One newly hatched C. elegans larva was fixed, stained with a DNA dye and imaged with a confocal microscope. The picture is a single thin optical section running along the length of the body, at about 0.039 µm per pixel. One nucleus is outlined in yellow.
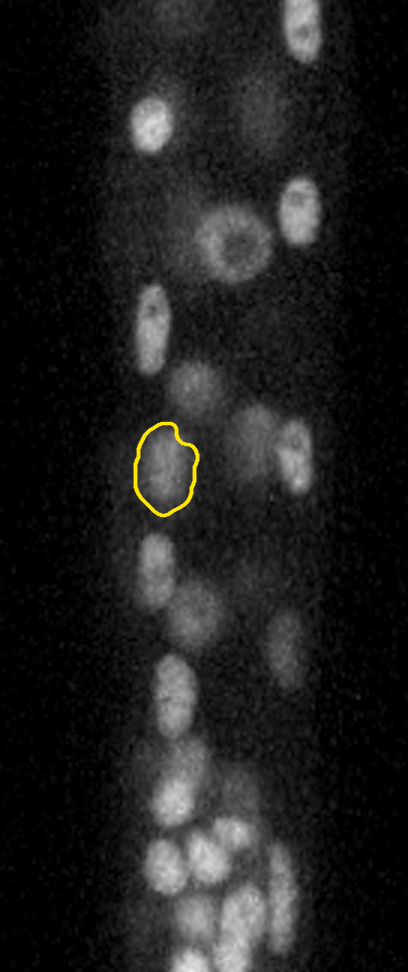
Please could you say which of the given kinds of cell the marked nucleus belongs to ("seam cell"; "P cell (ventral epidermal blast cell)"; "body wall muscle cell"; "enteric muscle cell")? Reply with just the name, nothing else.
P cell (ventral epidermal blast cell)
